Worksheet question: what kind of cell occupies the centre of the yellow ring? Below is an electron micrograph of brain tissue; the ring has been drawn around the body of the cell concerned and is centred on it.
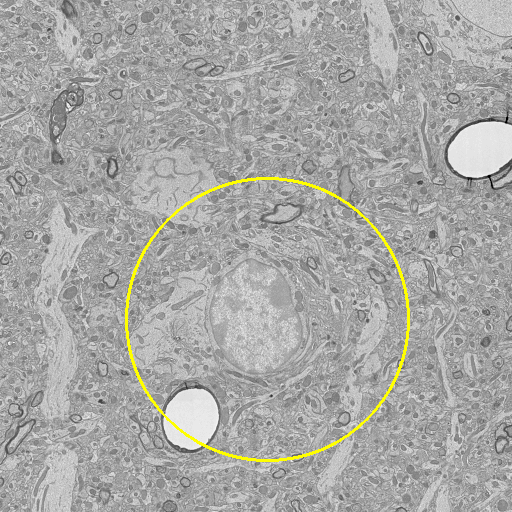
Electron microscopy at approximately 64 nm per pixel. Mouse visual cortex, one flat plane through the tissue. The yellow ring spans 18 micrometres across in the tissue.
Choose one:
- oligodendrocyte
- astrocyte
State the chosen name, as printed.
oligodendrocyte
